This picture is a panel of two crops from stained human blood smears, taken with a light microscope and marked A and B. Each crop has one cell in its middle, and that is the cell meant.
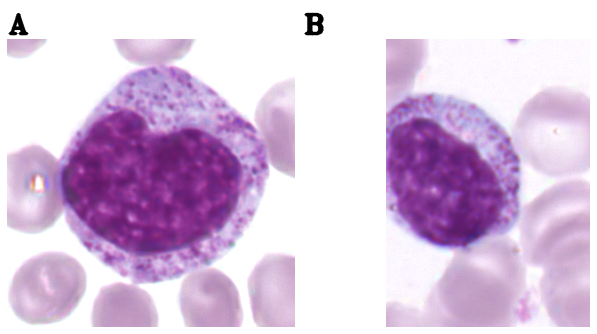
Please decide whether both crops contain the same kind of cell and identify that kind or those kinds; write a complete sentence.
No, a myelocyte occupies the middle of crop A, and a metamyelocyte the middle of crop B.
